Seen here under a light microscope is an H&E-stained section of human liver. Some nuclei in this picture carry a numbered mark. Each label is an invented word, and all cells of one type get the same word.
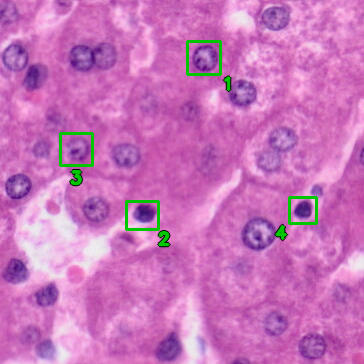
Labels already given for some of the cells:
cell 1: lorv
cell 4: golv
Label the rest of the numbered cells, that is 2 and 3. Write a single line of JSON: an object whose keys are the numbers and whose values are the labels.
{"2": "golv", "3": "lorv"}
